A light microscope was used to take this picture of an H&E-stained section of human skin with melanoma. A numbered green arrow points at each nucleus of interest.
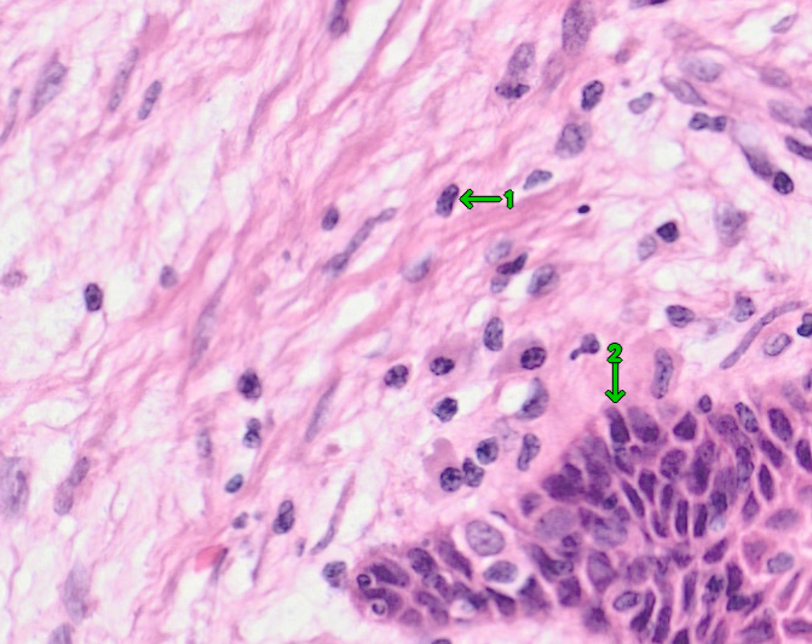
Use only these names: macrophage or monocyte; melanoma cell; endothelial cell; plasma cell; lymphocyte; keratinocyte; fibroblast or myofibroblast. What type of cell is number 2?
keratinocyte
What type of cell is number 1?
lymphocyte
